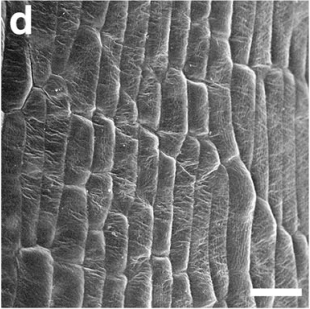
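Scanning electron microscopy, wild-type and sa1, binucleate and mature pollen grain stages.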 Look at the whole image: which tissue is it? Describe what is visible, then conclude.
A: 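Elongated rectangular surface cells lie in parallel rows. Cell borders are clearly visible between neighbouring cells.
Answer: epidermal surfaces of anthers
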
